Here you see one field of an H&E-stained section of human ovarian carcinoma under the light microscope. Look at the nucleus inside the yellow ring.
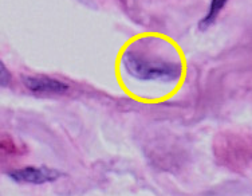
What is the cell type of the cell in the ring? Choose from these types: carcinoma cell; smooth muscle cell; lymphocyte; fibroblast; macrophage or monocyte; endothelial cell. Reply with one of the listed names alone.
endothelial cell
